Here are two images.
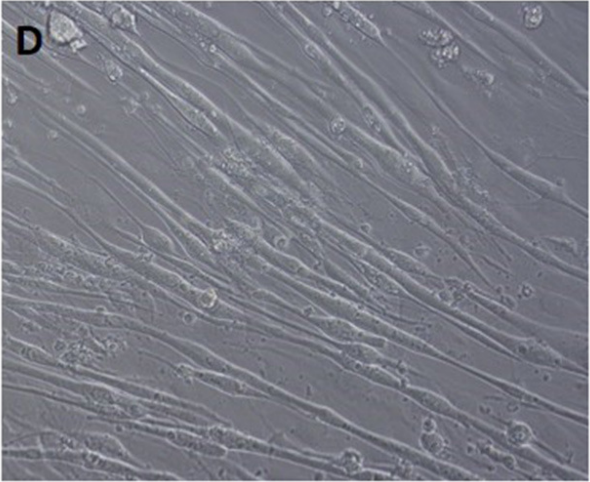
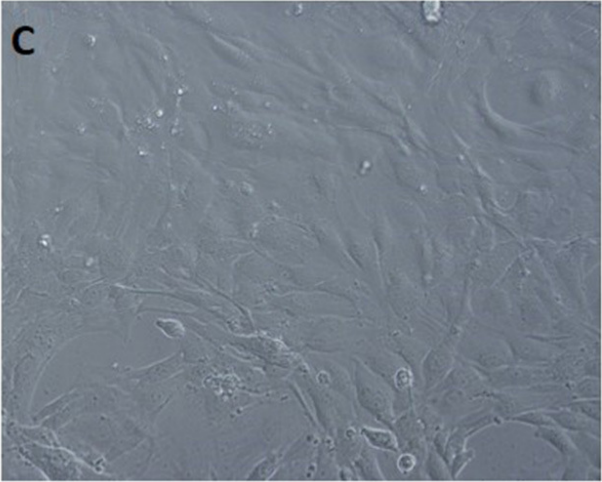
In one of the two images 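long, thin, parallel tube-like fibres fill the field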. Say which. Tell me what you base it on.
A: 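First image: long slender fibres run in parallel diagonally across the whole field. Second image: broad, flat cells with irregular outlines, no long fibres. On this evidence: the first image.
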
